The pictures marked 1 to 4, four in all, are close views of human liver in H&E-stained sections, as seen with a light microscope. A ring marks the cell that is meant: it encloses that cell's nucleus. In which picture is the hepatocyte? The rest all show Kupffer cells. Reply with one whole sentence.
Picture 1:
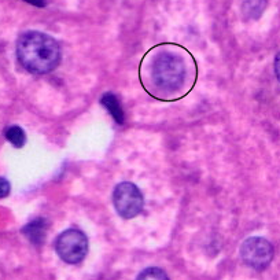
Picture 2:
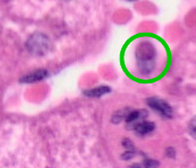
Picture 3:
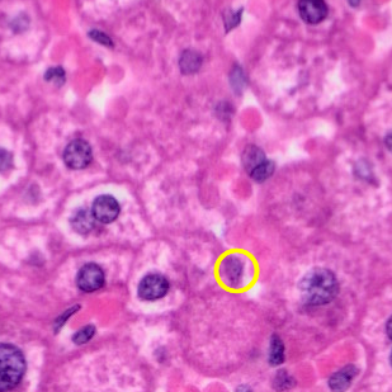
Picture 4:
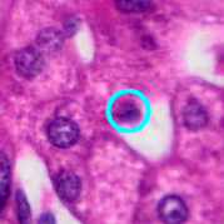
The cell in picture 1 is the hepatocyte.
